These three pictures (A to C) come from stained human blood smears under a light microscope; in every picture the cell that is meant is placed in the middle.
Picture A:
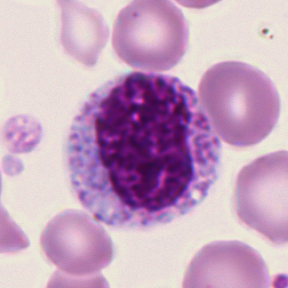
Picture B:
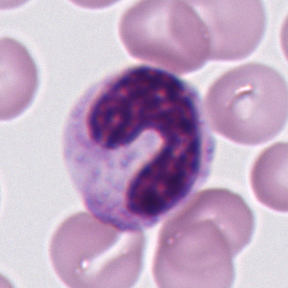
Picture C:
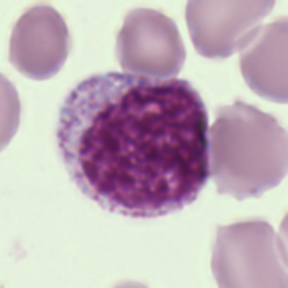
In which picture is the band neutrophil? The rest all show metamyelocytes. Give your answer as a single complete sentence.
Picture B shows the band neutrophil.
